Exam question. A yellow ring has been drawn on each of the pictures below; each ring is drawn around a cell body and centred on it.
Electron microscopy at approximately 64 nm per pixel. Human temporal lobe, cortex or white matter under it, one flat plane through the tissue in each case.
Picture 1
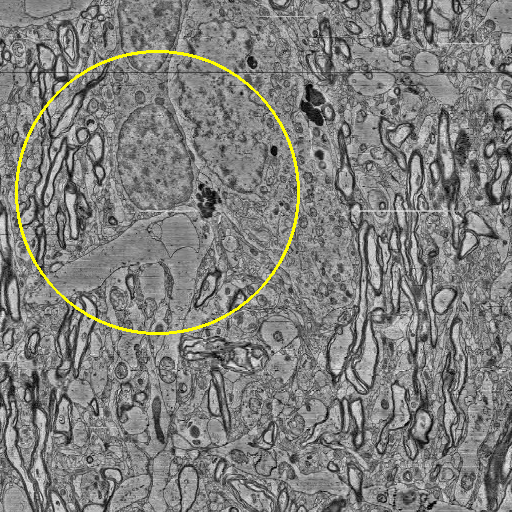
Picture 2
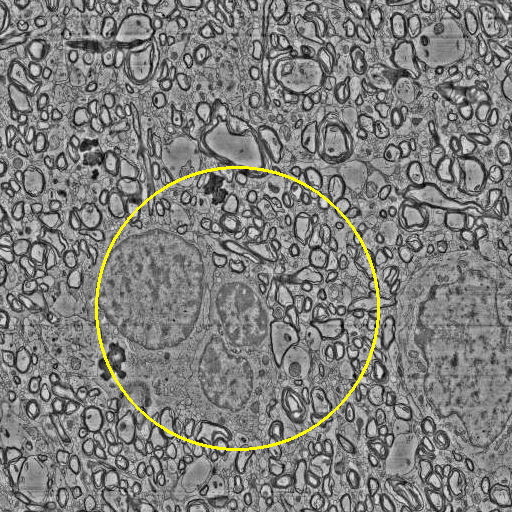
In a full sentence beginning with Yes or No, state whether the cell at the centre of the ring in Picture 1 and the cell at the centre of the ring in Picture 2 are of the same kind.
Yes, the two cells are of the same kind.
